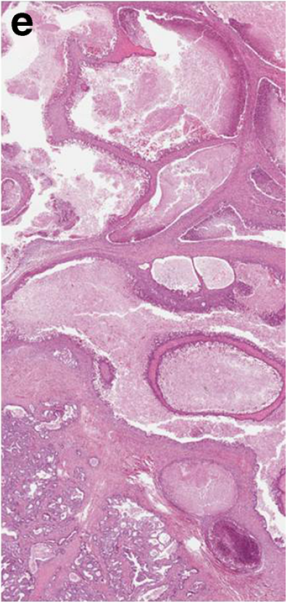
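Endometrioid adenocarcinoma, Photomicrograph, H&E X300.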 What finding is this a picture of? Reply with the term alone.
Neoplastic glands cystically dilated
